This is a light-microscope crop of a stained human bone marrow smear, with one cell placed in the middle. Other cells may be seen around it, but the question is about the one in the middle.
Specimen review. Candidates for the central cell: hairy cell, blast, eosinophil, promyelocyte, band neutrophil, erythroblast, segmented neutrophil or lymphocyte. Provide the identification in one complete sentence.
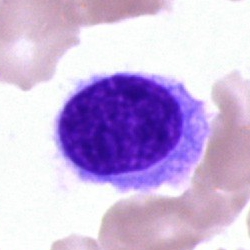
This particular crop is centered on a hairy cell.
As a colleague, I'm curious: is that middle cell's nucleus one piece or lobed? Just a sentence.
The nuclear material is gathered into one compact round, oval or kidney-shaped mass.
